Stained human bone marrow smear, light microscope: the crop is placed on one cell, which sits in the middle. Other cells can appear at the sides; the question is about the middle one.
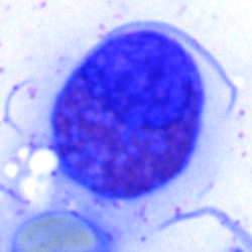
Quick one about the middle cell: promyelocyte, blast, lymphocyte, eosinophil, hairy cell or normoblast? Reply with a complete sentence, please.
The cell nearest the centre of this crop is an eosinophil.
